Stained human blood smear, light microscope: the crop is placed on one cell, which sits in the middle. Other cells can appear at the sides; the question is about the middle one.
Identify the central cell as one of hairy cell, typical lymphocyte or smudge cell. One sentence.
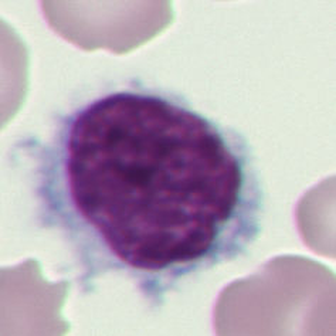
At the crop's centre, the cell is a hairy cell.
